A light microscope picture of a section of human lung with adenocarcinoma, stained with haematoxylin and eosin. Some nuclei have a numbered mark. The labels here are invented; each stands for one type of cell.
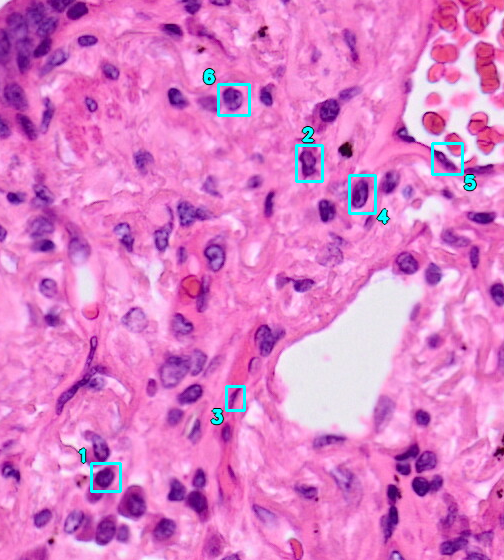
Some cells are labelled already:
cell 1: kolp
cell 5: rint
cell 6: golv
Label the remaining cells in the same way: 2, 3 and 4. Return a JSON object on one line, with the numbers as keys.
{"2": "kolp", "3": "rint", "4": "kolp"}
